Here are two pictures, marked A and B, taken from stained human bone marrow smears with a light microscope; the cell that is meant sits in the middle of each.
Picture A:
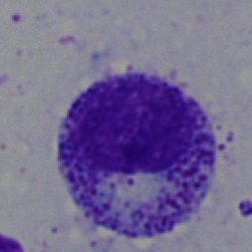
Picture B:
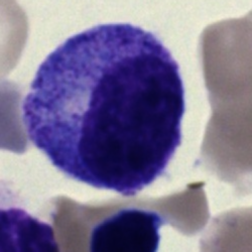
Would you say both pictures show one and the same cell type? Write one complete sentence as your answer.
No; the cell in picture A is a myelocyte, while the one in picture B is a promyelocyte.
